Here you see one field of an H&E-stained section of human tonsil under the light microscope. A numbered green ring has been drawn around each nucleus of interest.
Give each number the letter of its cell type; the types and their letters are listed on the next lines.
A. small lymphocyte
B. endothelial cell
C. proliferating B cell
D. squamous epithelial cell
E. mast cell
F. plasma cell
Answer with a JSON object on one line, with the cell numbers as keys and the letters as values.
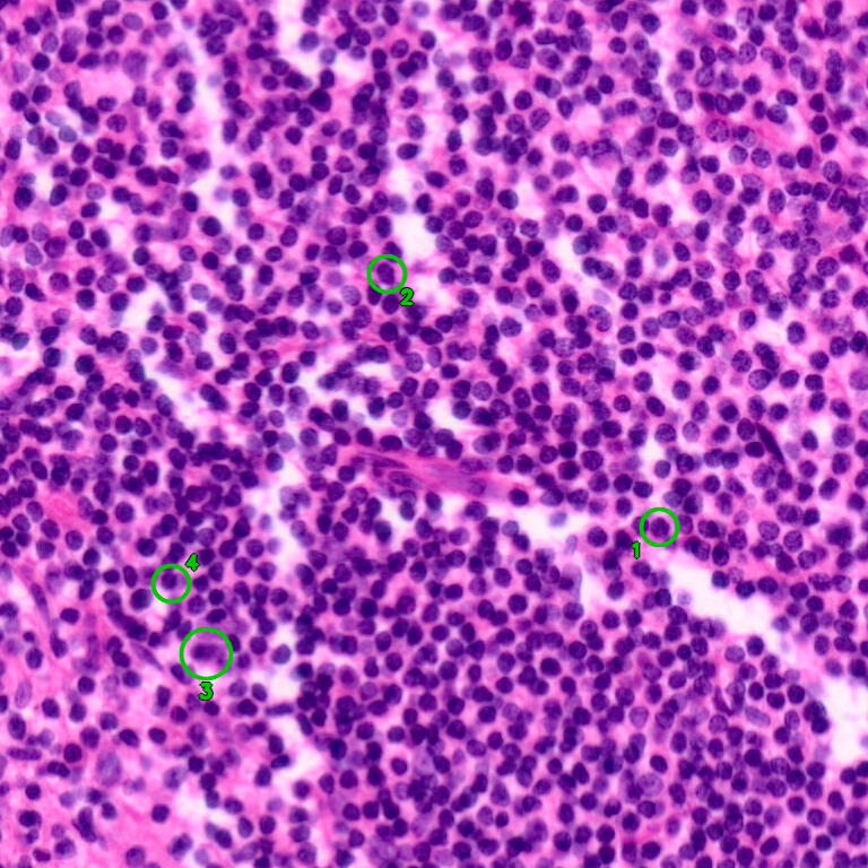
{"1": "A", "2": "A", "3": "C", "4": "A"}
